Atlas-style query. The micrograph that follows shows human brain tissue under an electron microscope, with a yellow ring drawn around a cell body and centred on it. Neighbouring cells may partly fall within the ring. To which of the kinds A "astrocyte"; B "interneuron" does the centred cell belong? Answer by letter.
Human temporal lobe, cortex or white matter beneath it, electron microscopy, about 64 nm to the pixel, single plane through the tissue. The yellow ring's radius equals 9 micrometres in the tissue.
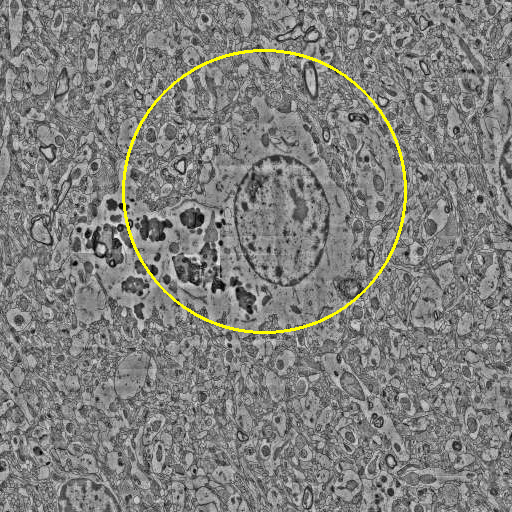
A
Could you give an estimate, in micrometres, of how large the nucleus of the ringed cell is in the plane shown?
The ringed cell's nucleus is about 8 micrometres long and 6 micrometres wide in this plane.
